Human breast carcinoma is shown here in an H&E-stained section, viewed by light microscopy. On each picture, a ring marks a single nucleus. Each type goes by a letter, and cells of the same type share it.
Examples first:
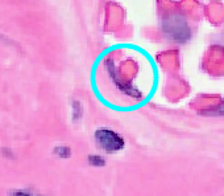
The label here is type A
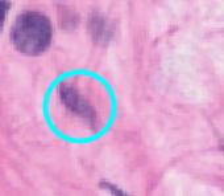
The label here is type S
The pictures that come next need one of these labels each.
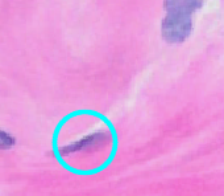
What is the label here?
type S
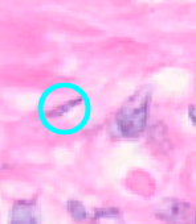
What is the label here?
type S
